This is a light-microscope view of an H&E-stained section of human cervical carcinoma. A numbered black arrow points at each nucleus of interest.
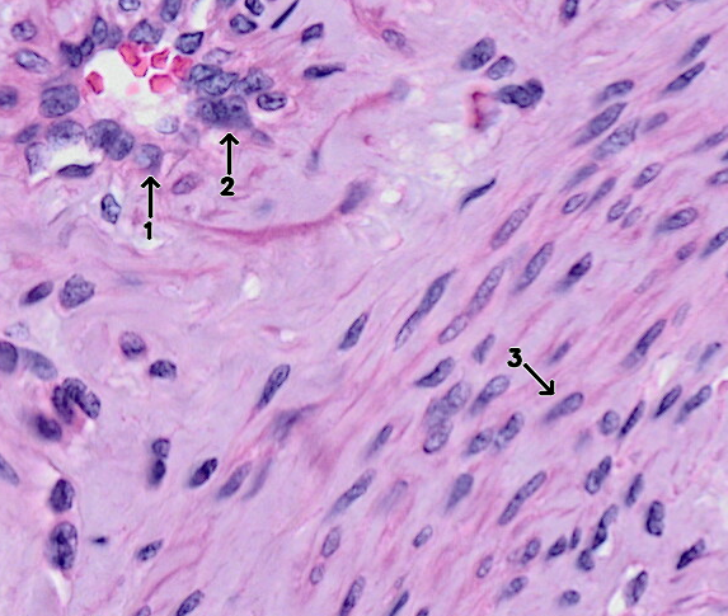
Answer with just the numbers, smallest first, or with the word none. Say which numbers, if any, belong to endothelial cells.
1, 2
